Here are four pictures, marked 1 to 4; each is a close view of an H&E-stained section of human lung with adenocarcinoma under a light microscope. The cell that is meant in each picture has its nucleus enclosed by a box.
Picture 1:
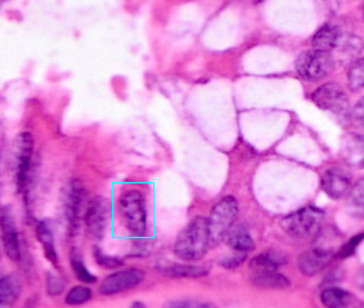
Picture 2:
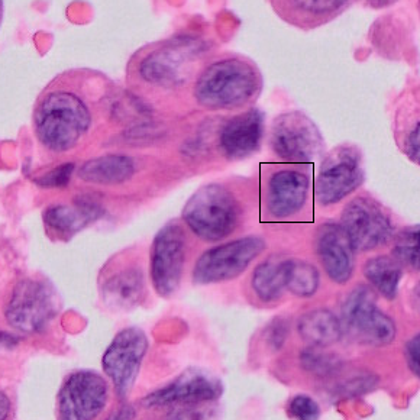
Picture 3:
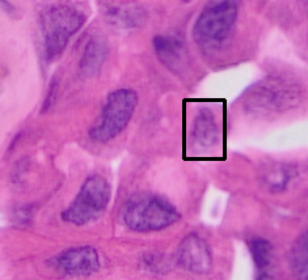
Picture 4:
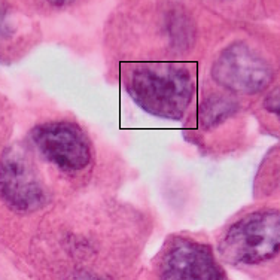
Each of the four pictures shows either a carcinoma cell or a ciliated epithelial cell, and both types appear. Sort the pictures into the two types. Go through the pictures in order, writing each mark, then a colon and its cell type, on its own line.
1: ciliated epithelial cell
2: carcinoma cell
3: carcinoma cell
4: carcinoma cell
